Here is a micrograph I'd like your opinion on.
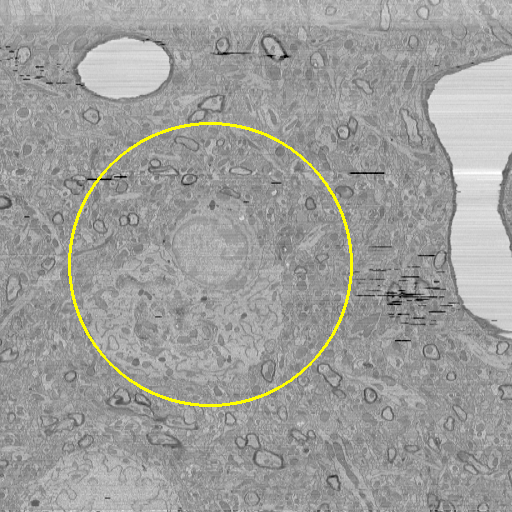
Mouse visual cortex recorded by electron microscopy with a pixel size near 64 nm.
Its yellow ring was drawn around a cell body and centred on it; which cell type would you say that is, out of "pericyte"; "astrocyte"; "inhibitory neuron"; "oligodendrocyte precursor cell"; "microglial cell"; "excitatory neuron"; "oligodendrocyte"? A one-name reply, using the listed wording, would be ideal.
oligodendrocyte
